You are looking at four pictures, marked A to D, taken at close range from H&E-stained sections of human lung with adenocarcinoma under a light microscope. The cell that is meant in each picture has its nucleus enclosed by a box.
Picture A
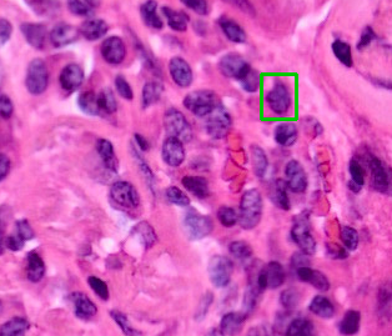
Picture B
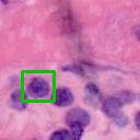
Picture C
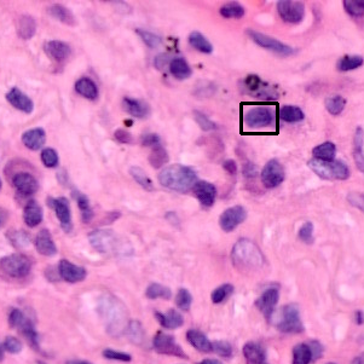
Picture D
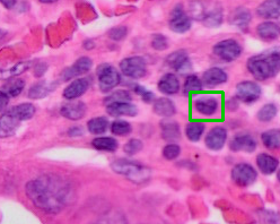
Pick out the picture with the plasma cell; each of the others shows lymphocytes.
A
